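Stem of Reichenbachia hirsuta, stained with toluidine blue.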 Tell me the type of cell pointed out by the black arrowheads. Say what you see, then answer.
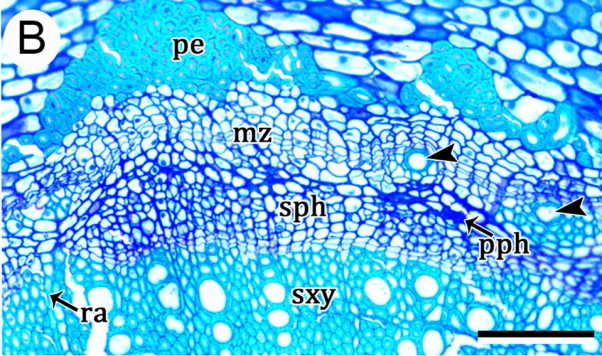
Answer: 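The arrowheads point to rounded cells with a wide open lumen. These cells lie among much smaller thin-walled cells.
Conclusion: vessel elements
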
